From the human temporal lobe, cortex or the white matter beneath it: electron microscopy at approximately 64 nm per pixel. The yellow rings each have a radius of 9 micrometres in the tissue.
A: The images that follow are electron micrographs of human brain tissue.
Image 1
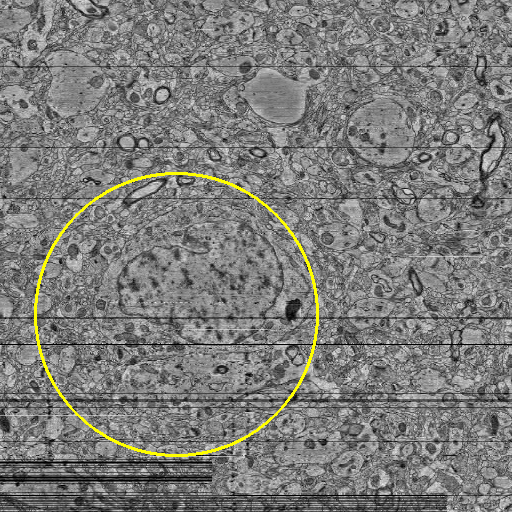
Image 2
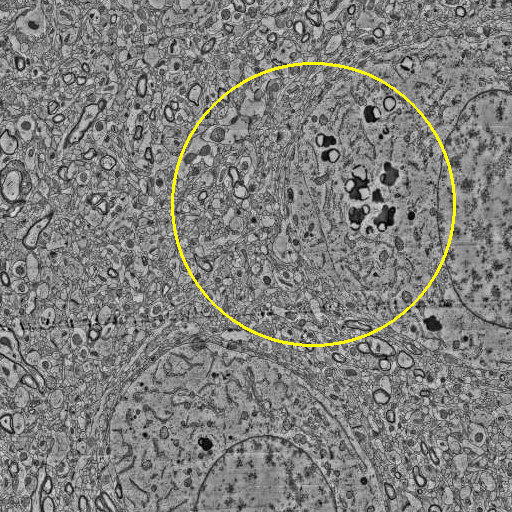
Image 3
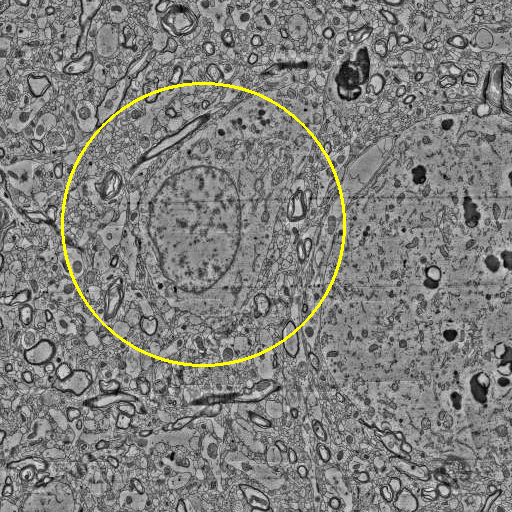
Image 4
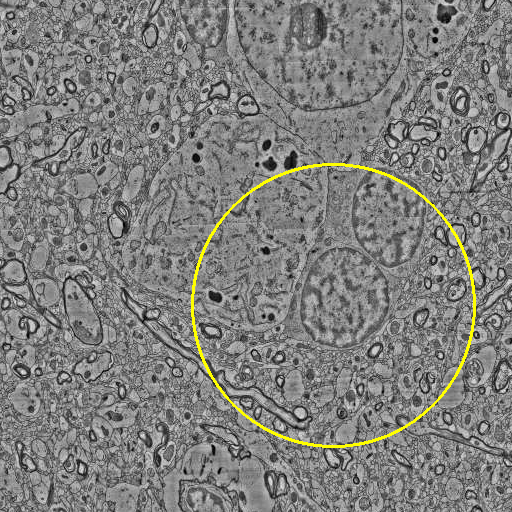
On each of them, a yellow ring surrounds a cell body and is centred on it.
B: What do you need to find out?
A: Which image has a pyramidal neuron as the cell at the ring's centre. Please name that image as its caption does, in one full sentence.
Image 3 is the one whose ring has the sought cell at its centre.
